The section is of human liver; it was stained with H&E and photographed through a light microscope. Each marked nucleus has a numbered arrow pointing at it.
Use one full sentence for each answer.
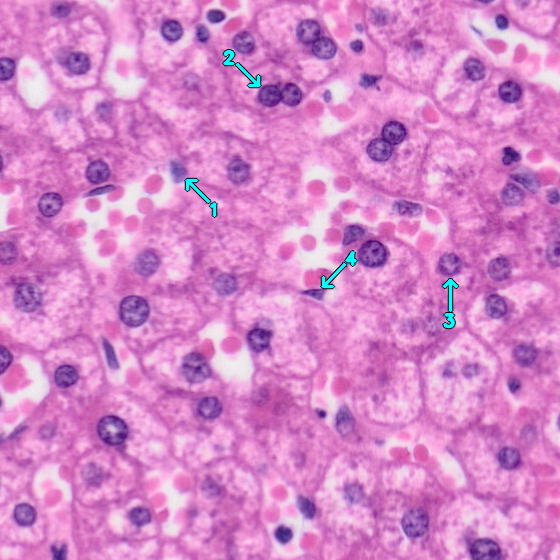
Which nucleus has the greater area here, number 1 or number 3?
Of the two, number 3 is bigger and takes up about 1.5 times the area of number 1.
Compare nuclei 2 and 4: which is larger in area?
Of the two, number 2 is bigger and takes up about 2 times the area of number 4.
